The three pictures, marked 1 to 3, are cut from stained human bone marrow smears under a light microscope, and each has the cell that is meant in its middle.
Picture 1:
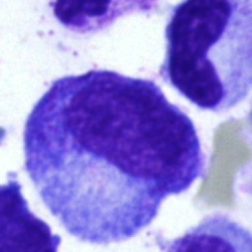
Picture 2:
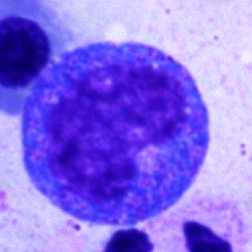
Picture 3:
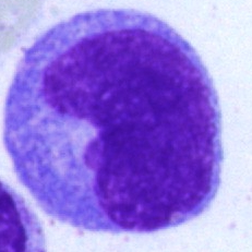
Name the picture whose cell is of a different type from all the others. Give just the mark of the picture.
3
